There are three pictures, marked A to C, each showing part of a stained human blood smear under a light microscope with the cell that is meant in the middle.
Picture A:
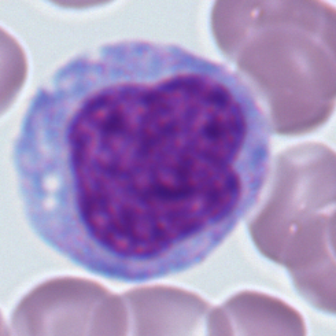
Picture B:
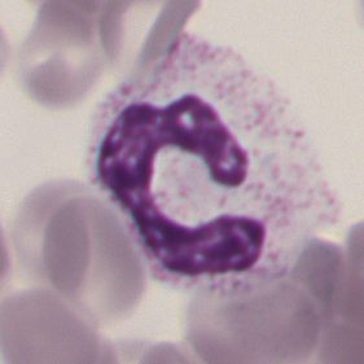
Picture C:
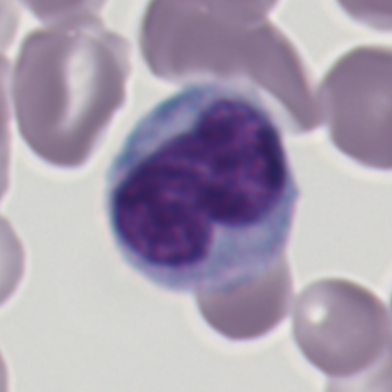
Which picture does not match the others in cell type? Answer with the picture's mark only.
B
